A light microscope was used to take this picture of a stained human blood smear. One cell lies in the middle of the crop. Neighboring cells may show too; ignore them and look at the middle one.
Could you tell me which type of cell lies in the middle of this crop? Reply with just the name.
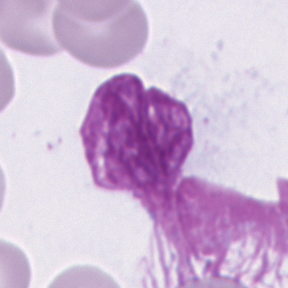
smudge cell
